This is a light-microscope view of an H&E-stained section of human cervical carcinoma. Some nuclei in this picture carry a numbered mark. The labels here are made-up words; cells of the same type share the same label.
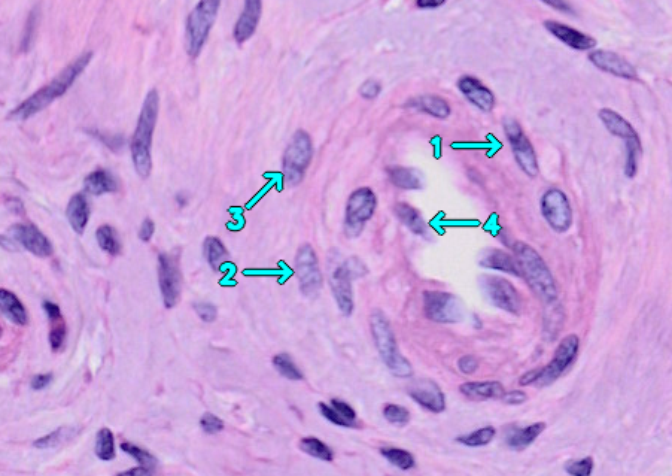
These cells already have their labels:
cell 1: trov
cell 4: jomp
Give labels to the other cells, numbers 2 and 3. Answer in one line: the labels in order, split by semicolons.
trov; trov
